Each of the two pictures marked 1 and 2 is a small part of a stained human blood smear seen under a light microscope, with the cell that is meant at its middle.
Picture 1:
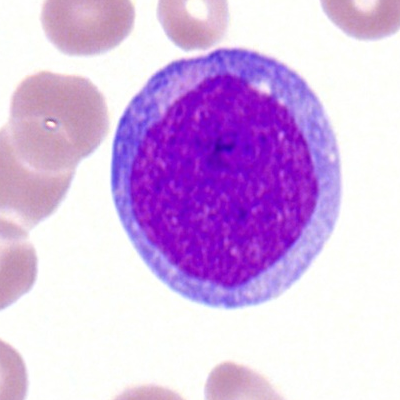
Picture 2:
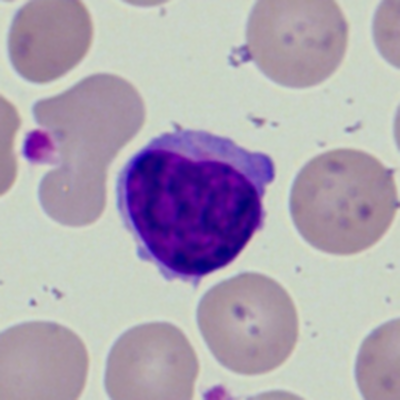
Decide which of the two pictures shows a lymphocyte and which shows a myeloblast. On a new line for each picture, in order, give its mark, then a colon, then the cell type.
1: myeloblast
2: lymphocyte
